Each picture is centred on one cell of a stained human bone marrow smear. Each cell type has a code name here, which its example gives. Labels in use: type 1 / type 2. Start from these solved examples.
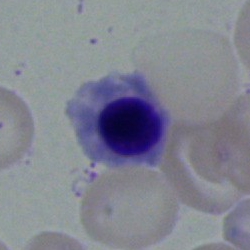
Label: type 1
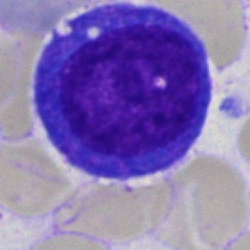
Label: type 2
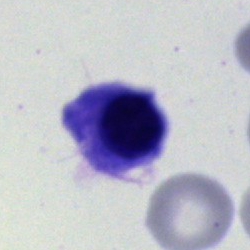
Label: type 1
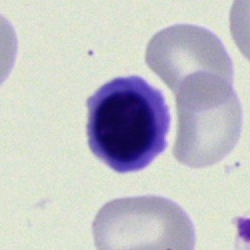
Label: type 1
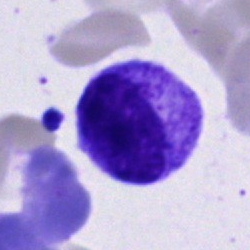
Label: type 2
